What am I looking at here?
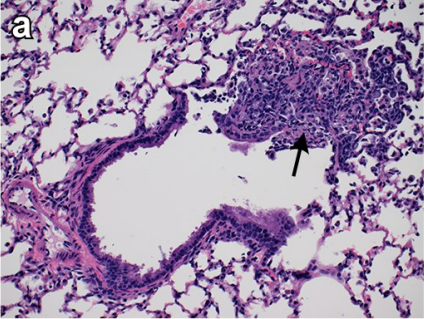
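This is lung tissue with a bronchiole and a single compact focus of inflammatory cells next to it. Above the airway, a dense cluster of small cells with dark round nuclei replaces the neighbouring alveoli. Away from this focus, the alveolar walls are thin and the air spaces are open.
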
